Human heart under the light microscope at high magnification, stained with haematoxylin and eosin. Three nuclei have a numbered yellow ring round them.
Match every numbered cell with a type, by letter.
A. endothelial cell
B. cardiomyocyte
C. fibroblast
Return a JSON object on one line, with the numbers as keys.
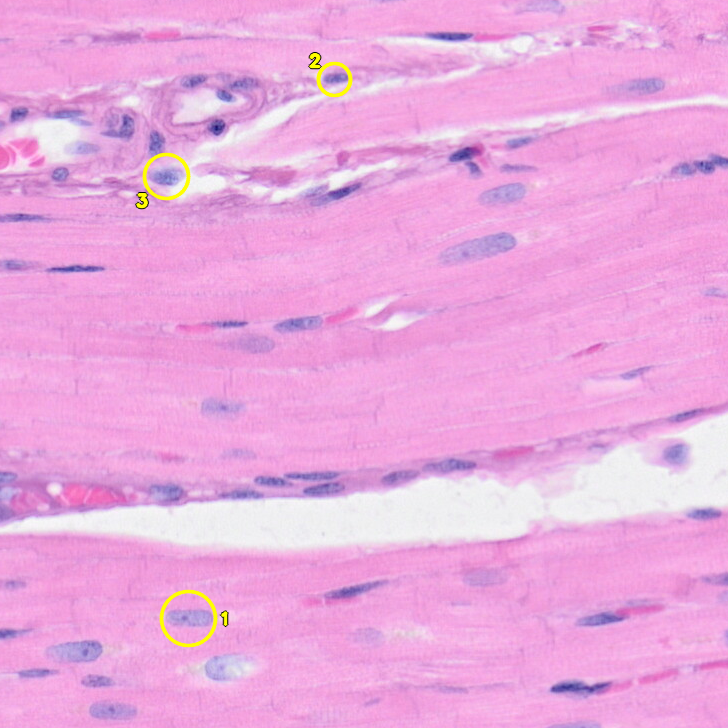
{"1": "B", "2": "C", "3": "C"}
